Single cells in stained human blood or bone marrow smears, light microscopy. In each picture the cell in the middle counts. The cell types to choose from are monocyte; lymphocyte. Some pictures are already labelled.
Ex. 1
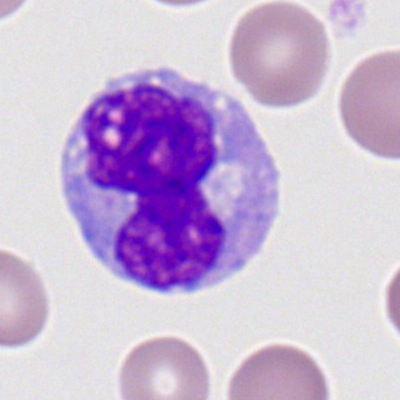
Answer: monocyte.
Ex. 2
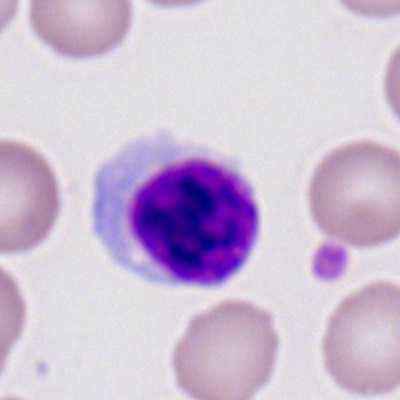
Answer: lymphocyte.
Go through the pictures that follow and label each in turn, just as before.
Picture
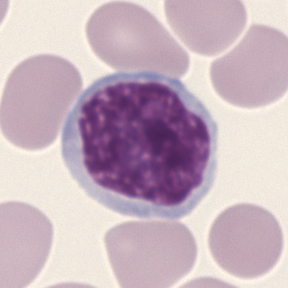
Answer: lymphocyte.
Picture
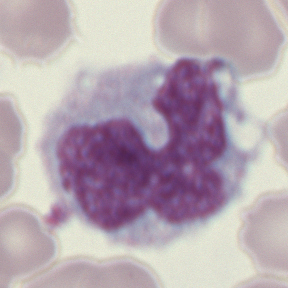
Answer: monocyte.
